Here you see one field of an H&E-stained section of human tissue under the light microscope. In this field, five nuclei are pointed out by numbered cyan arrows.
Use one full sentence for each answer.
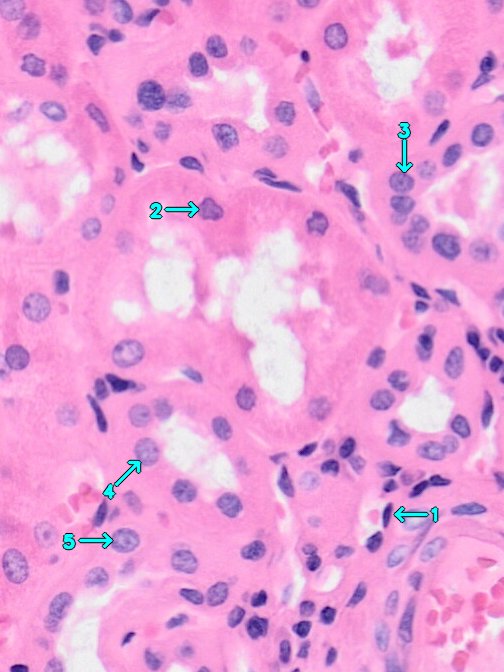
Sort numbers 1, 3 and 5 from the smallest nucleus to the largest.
The order from the smallest nucleus to the largest is 1, 3, 5.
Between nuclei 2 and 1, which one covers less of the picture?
The smaller nucleus is 1, and 2 covers roughly 2 times its area.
